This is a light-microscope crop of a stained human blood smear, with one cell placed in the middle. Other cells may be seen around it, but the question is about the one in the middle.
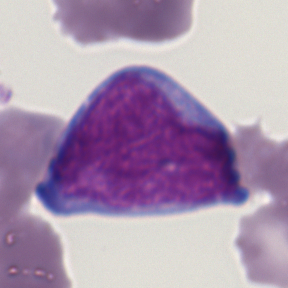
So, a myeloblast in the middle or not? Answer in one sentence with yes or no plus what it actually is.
Yes, it is a myeloblast that is seen at the centre of the crop.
